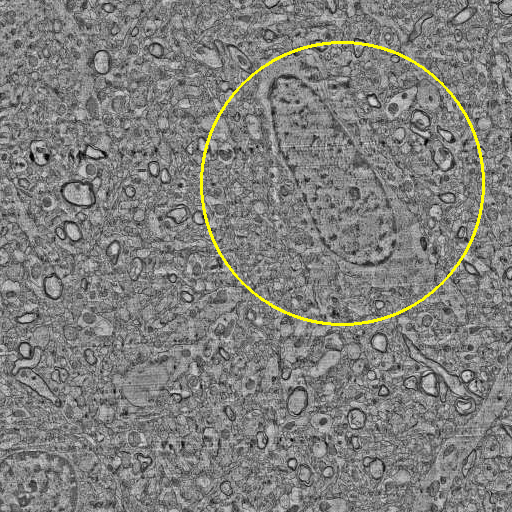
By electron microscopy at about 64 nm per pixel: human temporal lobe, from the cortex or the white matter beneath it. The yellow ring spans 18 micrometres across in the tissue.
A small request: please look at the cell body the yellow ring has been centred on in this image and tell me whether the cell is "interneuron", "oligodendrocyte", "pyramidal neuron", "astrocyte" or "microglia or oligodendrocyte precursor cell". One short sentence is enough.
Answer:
The cell marked by the ring is a microglial cell or oligodendrocyte precursor cell.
